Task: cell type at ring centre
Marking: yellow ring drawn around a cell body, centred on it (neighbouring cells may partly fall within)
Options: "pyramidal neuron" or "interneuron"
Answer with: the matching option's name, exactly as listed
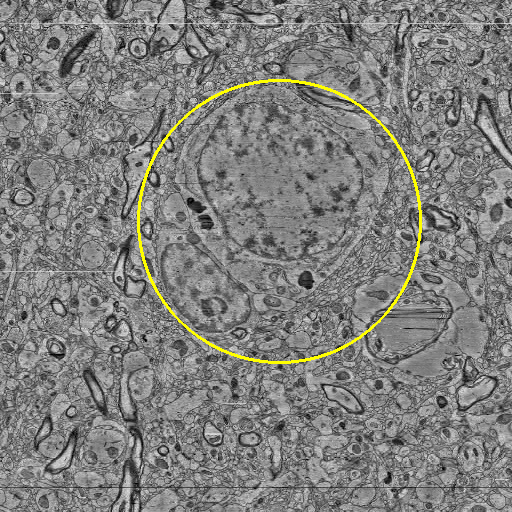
interneuron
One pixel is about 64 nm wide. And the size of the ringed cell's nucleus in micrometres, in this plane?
Approximately 10 micrometers across in this plane.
